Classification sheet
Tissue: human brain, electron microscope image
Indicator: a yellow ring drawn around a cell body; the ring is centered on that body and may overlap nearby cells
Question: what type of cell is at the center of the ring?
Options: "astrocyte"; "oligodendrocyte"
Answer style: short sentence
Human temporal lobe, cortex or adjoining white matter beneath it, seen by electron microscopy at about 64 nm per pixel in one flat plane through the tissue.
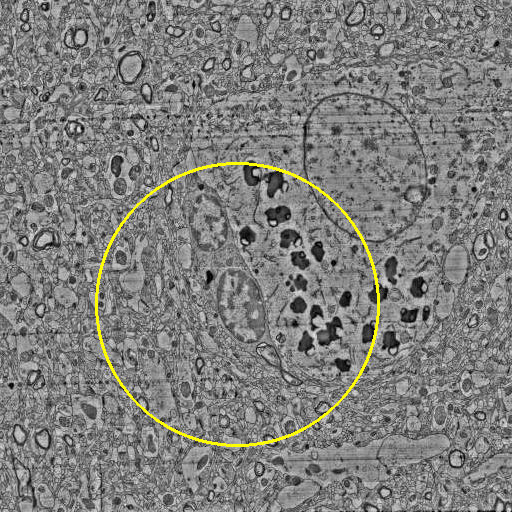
At the ring's center is an oligodendrocyte.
